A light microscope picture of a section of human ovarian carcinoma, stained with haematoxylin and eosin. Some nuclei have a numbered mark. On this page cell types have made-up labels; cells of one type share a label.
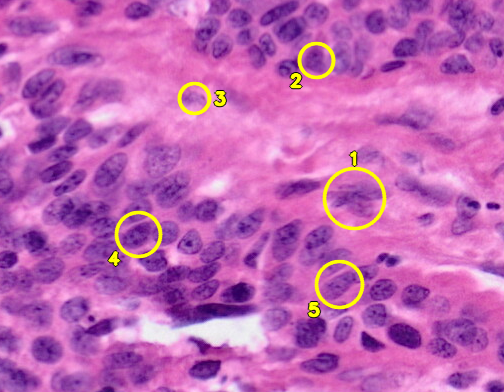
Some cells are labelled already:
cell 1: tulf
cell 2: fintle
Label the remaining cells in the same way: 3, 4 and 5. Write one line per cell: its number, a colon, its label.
3: tulf
4: fintle
5: fintle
